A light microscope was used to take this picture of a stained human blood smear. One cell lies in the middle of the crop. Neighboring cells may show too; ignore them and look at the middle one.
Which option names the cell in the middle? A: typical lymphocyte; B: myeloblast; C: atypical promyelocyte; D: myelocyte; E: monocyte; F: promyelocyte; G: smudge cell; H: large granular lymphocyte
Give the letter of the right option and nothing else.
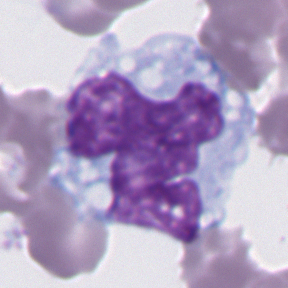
E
